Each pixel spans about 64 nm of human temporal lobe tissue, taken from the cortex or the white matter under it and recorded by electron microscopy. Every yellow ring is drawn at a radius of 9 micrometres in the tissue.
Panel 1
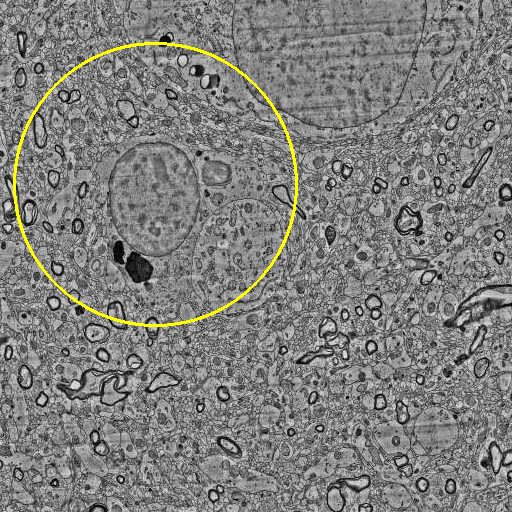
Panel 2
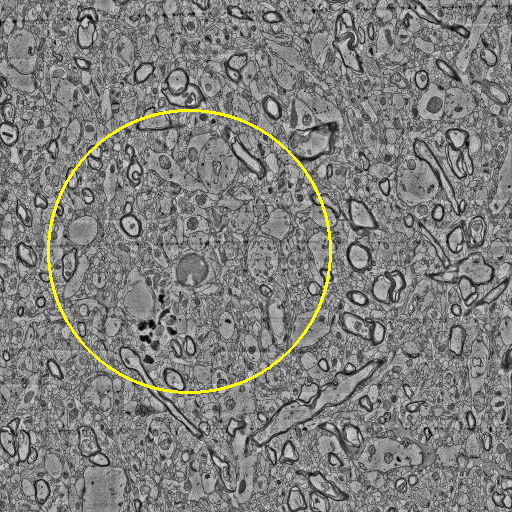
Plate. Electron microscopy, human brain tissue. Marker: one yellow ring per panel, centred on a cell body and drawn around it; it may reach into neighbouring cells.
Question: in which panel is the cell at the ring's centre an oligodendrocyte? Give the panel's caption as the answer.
Panel 1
